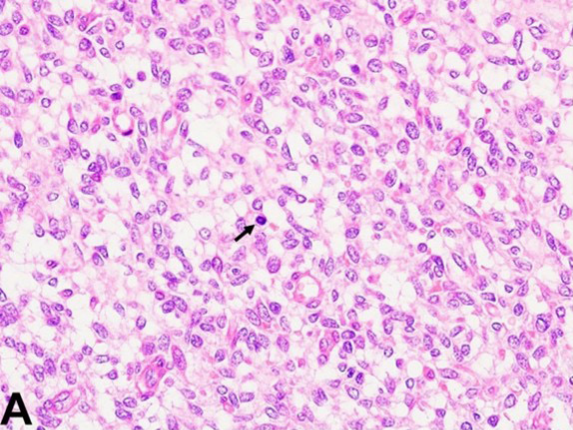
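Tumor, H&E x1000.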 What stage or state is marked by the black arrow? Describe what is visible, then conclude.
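The arrow points to a small, dense, dark purple condensed nucleus. The marked nucleus is far darker and more compact than the surrounding oval vesicular nuclei. The answer: mitotic activity.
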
